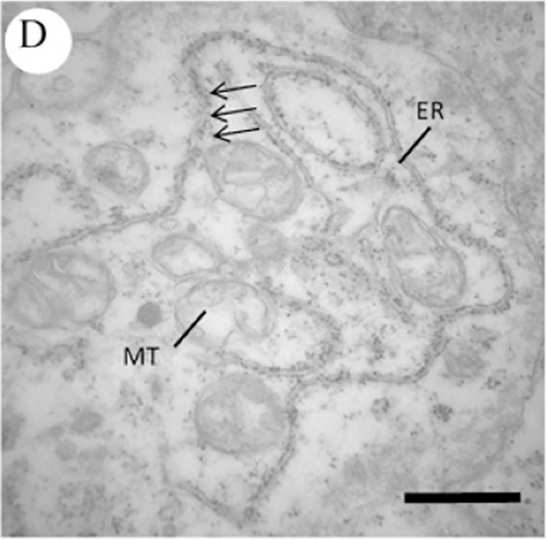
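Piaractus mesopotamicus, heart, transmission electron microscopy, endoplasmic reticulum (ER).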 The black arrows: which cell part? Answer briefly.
Ribosomes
